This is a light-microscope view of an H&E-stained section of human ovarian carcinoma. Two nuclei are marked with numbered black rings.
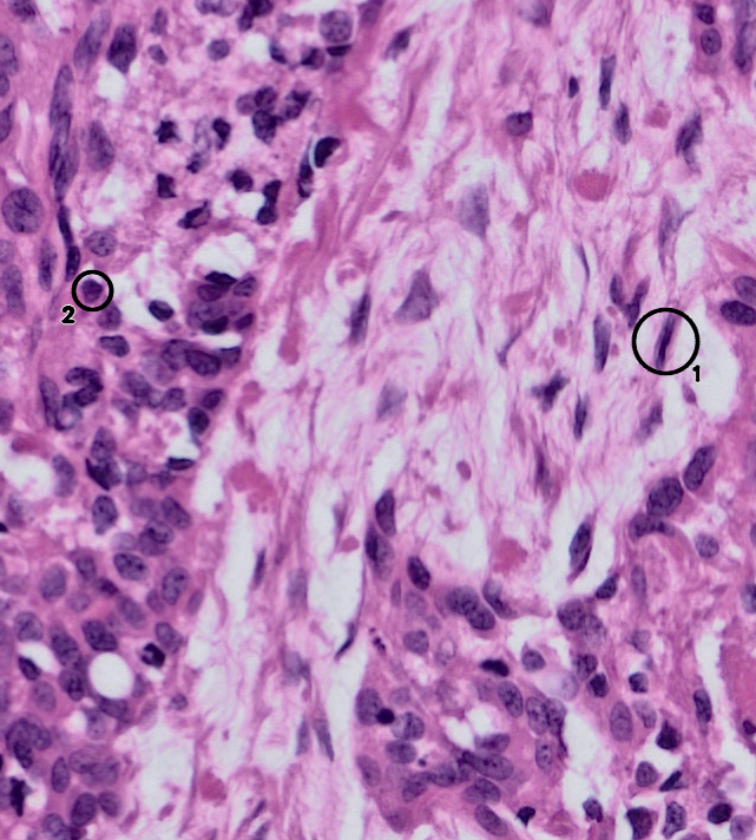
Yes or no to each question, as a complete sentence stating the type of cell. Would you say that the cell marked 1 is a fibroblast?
Yes, number 1 corresponds to a fibroblast.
